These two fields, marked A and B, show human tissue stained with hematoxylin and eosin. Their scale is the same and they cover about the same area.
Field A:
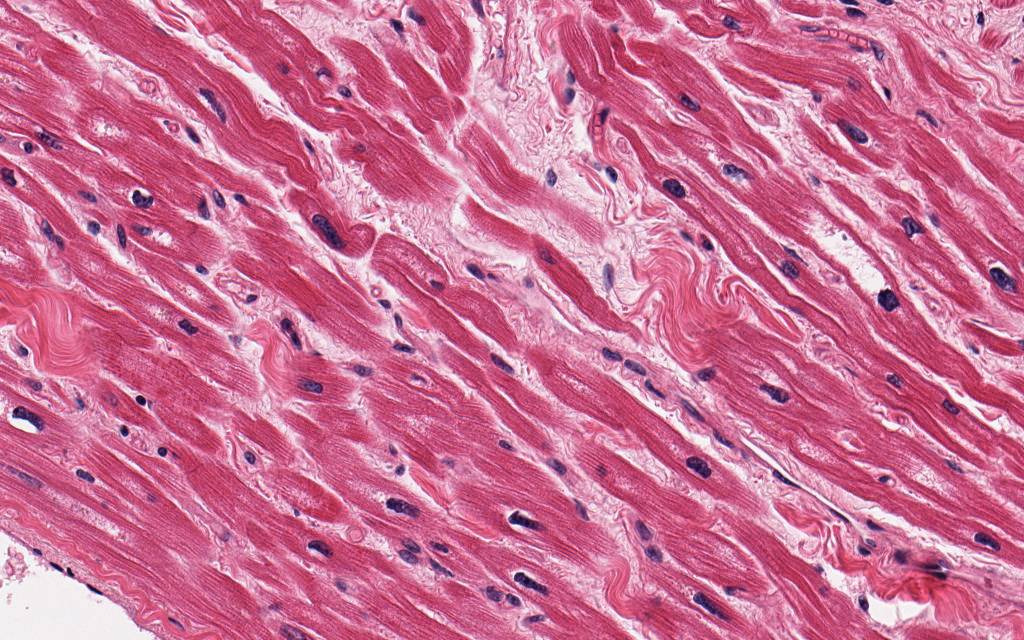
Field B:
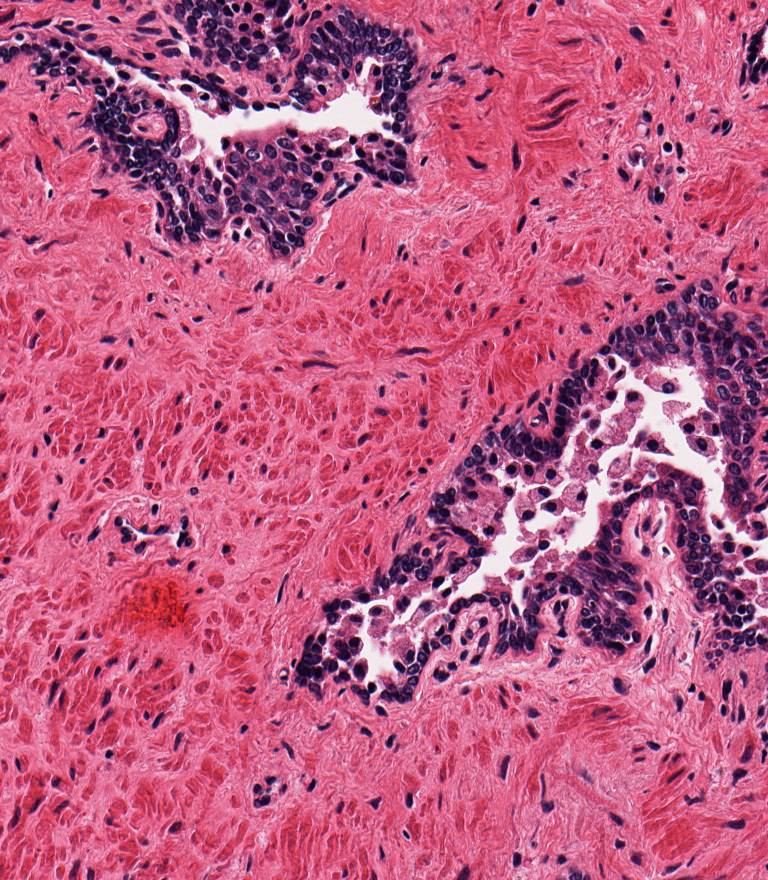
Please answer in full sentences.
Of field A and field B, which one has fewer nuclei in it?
The smaller number of nuclei is in field A.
